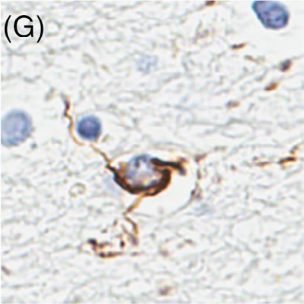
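White matter with a coiled body: a small cell whose round blue nucleus is partly encircled by a dense, crescent-shaped band of brown stain, with a thin brown process trailing from it. Nearby small round blue nuclei lie unstained in a pale fibrous background with a few short brown threads.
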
